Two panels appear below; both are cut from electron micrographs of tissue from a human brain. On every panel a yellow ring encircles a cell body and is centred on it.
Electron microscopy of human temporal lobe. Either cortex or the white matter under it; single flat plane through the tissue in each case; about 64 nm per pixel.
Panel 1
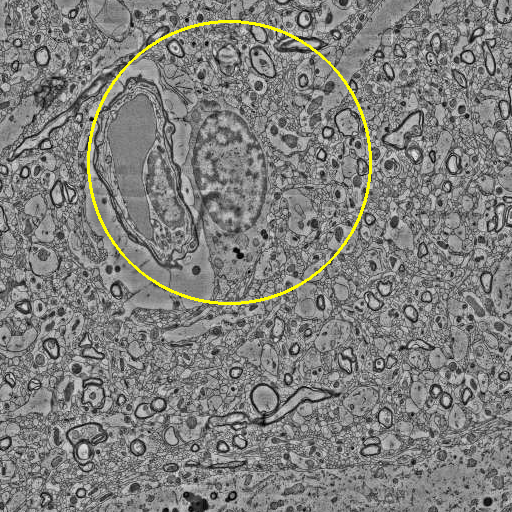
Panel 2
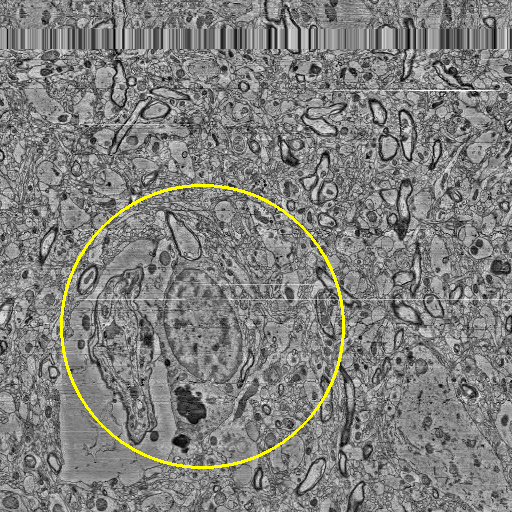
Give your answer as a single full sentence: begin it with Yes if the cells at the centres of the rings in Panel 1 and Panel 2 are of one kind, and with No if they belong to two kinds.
Yes, the cells in the middle of the rings in Panels 1 and 2 are of one kind.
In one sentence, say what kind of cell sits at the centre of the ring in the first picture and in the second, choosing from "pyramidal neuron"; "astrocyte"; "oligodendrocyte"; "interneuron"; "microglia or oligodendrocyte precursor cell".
Both pictures show an oligodendrocyte at the centre of the ring.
